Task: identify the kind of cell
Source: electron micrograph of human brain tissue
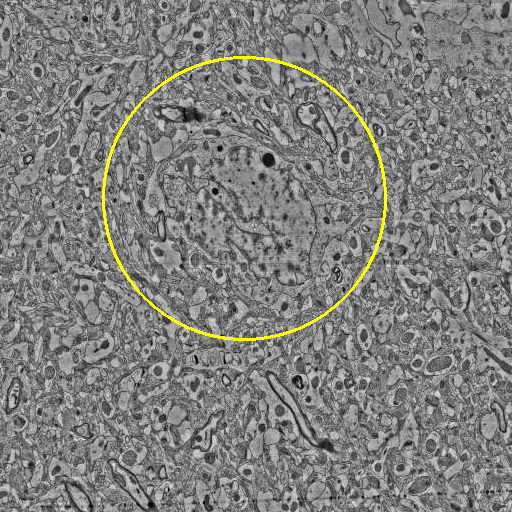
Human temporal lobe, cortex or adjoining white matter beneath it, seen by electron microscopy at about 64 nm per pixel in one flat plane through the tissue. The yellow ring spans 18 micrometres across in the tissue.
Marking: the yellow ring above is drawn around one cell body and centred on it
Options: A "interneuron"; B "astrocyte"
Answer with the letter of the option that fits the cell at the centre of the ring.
A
